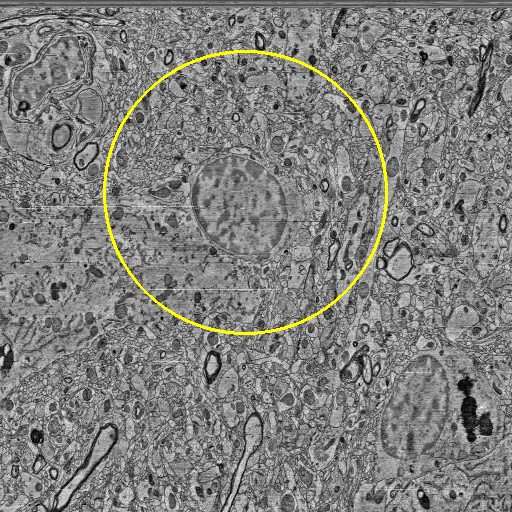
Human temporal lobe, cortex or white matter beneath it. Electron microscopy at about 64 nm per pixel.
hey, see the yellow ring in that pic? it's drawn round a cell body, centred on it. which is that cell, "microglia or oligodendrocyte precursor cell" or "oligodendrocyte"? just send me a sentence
The cell in the ring is an oligodendrocyte.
